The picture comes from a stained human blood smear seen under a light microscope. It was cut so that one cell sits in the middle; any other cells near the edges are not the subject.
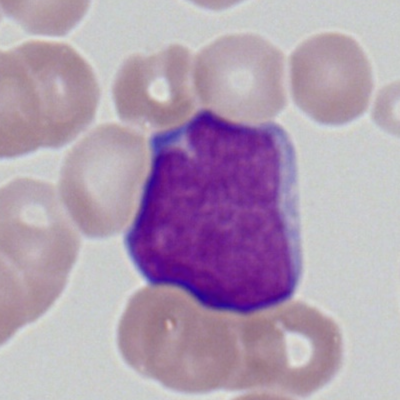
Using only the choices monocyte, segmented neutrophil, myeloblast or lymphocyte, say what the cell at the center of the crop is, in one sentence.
The identification for the central cell is a myeloblast.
